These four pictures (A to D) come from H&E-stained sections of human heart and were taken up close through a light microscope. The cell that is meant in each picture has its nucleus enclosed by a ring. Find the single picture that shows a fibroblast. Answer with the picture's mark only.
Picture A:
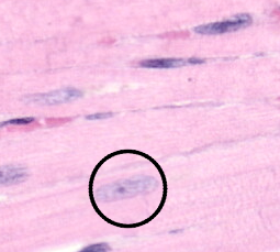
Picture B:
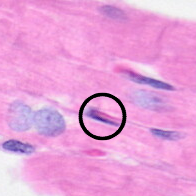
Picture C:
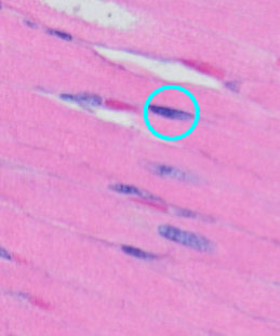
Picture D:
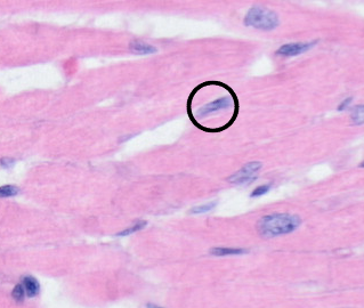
C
